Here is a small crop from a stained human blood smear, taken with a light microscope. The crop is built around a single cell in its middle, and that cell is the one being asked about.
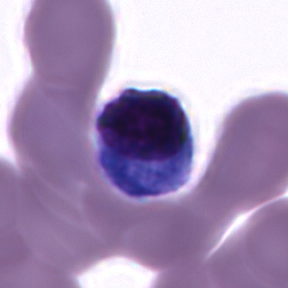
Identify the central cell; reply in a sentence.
The cell the crop is centered on is a plasma cell.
